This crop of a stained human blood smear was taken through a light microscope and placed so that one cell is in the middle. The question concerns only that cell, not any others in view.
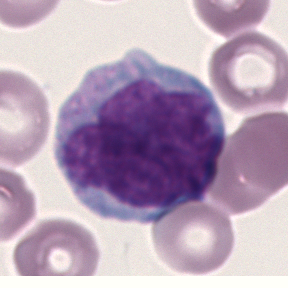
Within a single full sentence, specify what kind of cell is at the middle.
What sits at the centre of this crop is an atypical promyelocyte.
